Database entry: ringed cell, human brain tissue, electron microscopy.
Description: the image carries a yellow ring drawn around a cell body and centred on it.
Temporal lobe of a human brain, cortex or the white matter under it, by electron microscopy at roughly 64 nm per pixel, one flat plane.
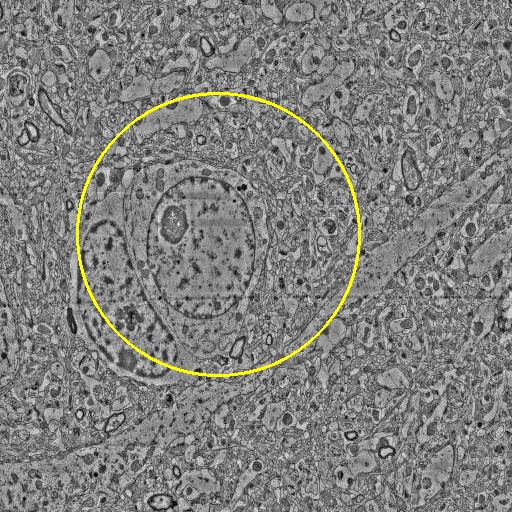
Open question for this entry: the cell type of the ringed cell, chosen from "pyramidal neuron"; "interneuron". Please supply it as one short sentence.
The ringed cell is a pyramidal neuron.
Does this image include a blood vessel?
No, the image shows no blood vessel.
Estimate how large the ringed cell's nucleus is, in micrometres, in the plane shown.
In this plane the nucleus spans approximately 9 by 7 micrometers.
